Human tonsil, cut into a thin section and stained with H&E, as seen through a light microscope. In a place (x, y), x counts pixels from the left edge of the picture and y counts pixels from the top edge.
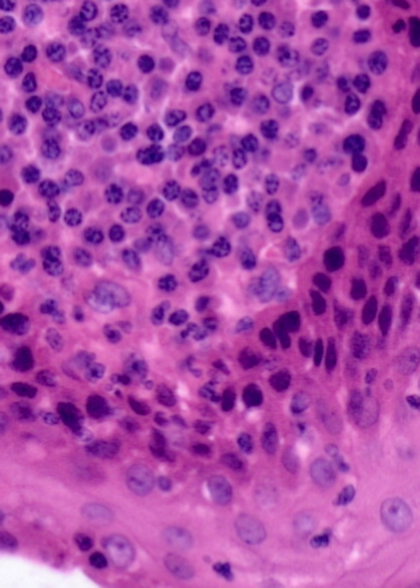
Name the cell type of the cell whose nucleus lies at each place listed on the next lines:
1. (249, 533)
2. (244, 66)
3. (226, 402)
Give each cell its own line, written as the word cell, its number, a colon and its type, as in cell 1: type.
cell 1: squamous epithelial cell
cell 2: plasma cell
cell 3: squamous epithelial cell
